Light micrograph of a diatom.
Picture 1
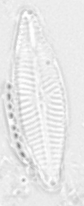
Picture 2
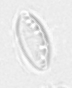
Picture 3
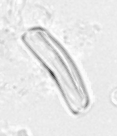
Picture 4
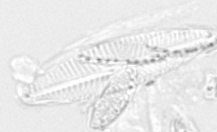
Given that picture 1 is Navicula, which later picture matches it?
4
